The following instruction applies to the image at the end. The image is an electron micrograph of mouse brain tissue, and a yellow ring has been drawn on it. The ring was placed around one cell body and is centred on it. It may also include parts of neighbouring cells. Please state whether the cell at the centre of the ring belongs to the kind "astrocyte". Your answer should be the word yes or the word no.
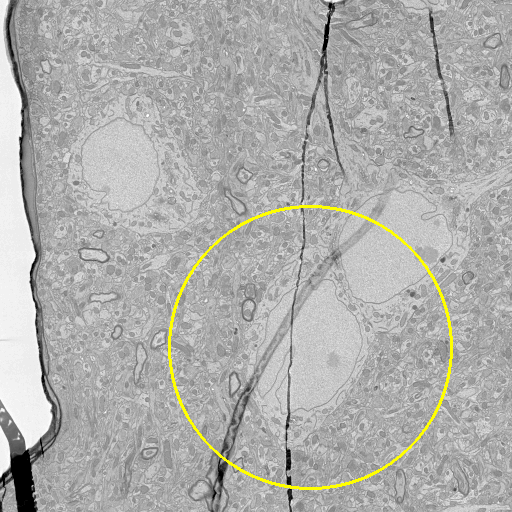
no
